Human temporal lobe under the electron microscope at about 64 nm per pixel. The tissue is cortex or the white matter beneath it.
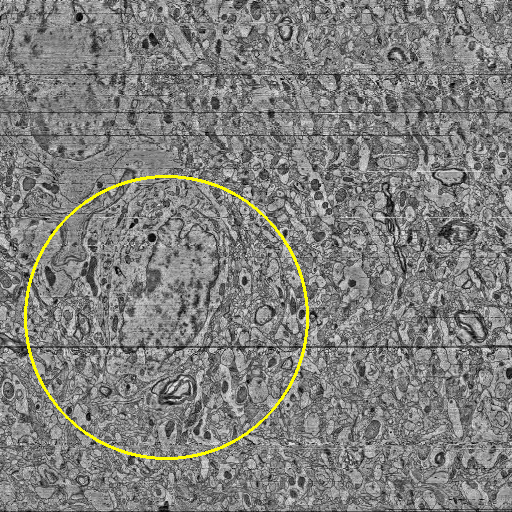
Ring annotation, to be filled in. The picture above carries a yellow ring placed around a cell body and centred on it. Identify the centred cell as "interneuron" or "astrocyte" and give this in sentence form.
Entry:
The cell in the middle of the ring is an interneuron.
